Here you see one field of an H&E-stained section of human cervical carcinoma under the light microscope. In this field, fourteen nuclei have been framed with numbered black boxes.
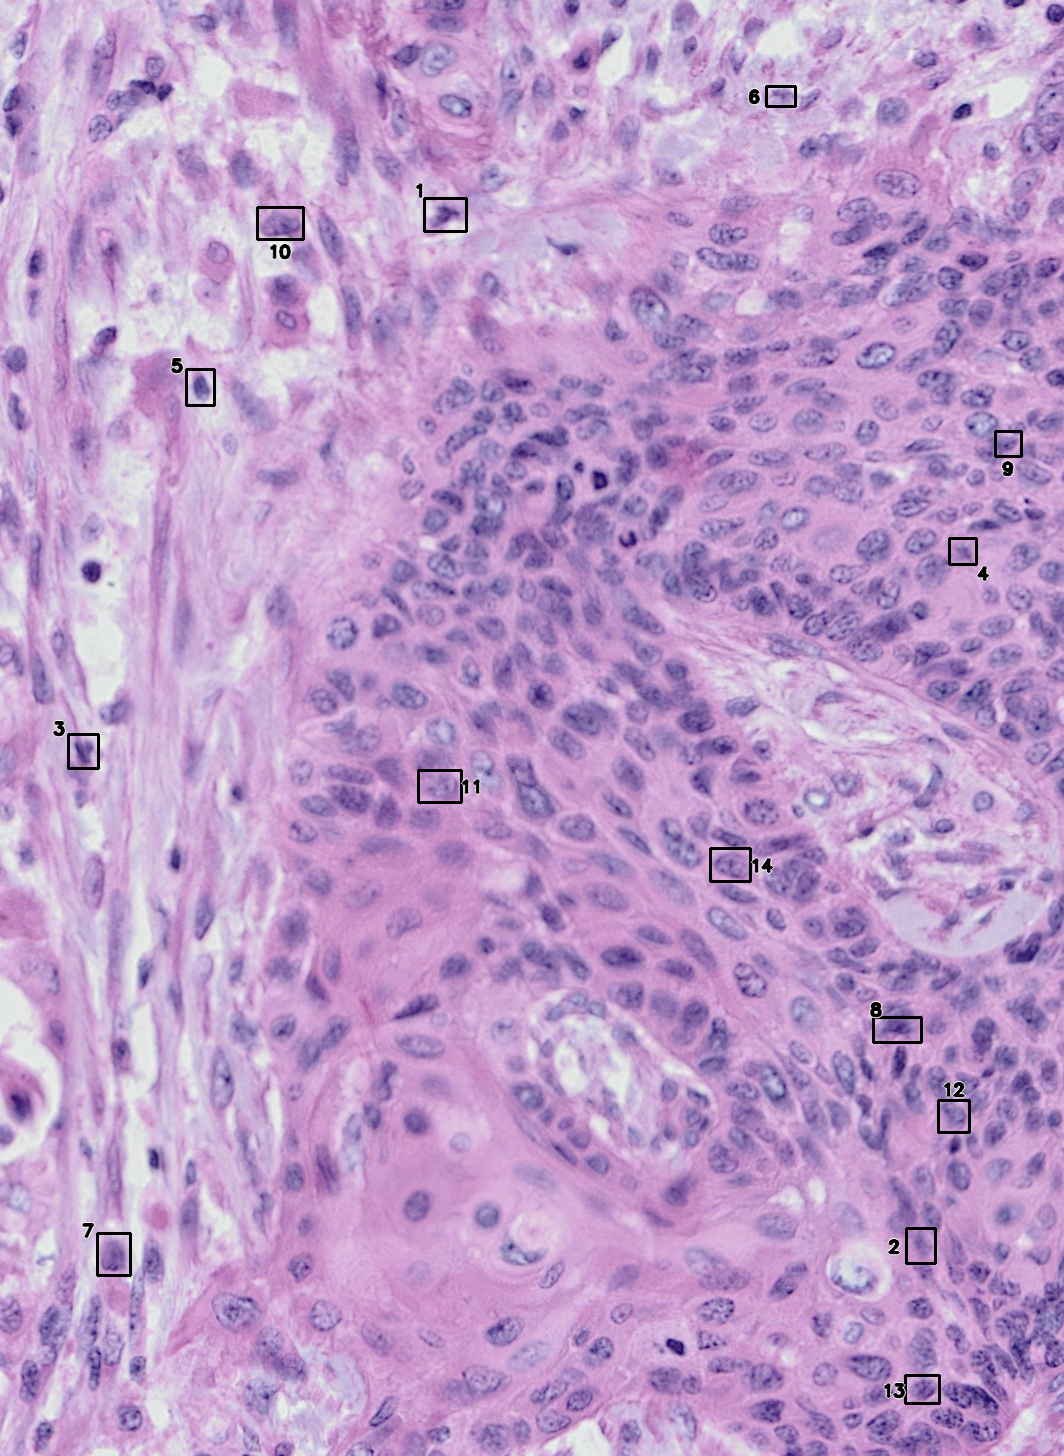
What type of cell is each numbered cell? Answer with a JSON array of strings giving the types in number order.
["macrophage or monocyte", "squamous carcinoma cell", "lymphocyte", "squamous carcinoma cell", "lymphocyte", "fibroblast", "macrophage or monocyte", "squamous carcinoma cell", "squamous carcinoma cell", "macrophage or monocyte", "squamous carcinoma cell", "squamous carcinoma cell", "squamous carcinoma cell", "squamous carcinoma cell"]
